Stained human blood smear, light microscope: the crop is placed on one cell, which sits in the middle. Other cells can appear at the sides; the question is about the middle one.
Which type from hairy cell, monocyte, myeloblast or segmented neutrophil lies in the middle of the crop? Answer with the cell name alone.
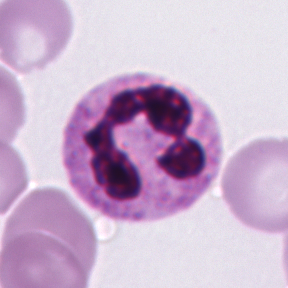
segmented neutrophil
